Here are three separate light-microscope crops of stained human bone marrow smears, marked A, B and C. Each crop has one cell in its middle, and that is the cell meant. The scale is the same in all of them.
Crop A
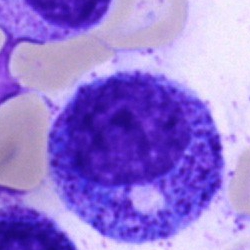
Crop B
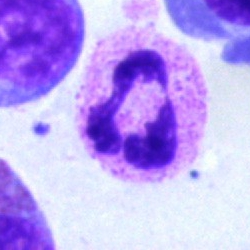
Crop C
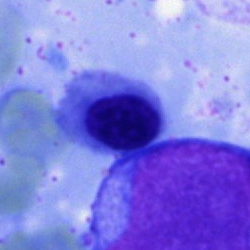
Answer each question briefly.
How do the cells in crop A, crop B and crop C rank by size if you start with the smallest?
C, B, A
